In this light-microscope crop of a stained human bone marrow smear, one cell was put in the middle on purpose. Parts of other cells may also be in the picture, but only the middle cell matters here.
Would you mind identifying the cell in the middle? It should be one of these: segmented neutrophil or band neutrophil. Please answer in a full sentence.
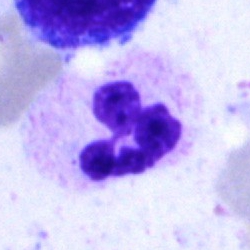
This particular crop is centered on a segmented neutrophil.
